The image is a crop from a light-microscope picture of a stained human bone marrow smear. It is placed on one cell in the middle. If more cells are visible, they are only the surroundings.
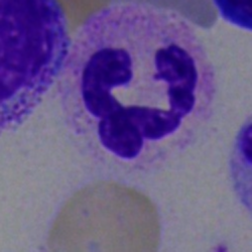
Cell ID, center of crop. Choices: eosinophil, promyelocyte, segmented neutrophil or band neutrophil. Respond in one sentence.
The single cell at the center of the crop is a segmented neutrophil.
